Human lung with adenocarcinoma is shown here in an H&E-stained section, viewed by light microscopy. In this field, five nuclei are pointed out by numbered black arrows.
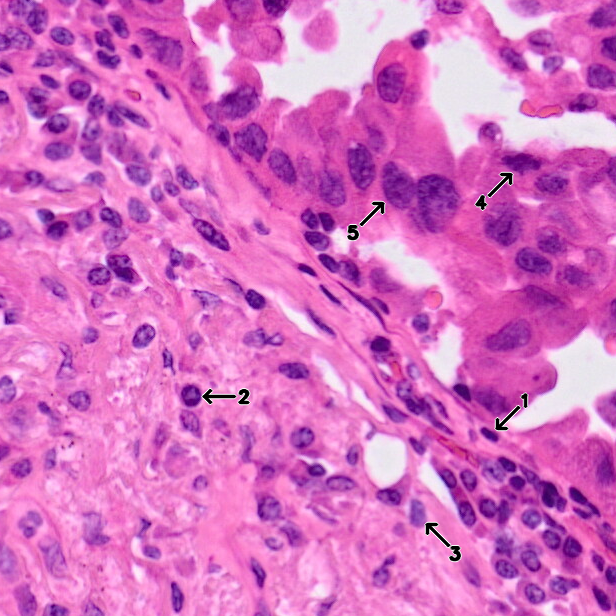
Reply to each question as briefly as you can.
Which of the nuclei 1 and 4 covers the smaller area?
1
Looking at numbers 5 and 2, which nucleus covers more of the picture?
5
